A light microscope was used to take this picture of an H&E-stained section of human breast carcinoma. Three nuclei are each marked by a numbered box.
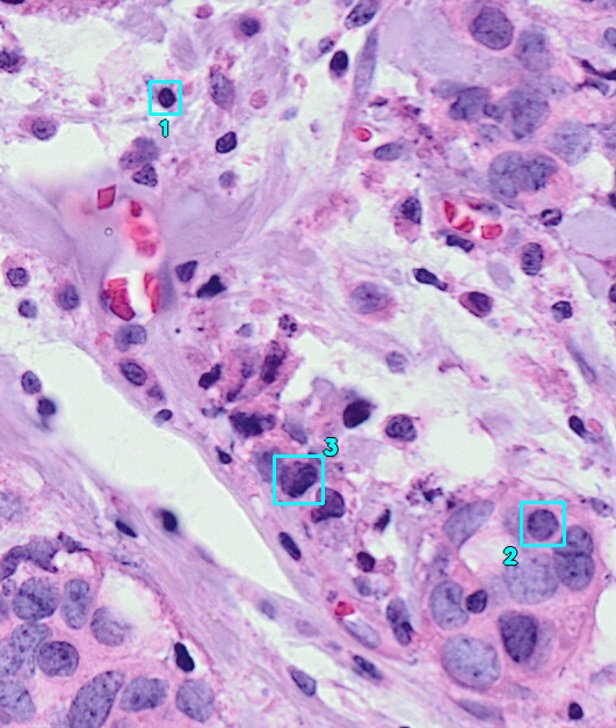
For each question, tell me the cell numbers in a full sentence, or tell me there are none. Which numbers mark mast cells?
The marked and numbered cells comprise no mast cells.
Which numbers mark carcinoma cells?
The cells given the numbers 2 and 3 are carcinoma cells.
